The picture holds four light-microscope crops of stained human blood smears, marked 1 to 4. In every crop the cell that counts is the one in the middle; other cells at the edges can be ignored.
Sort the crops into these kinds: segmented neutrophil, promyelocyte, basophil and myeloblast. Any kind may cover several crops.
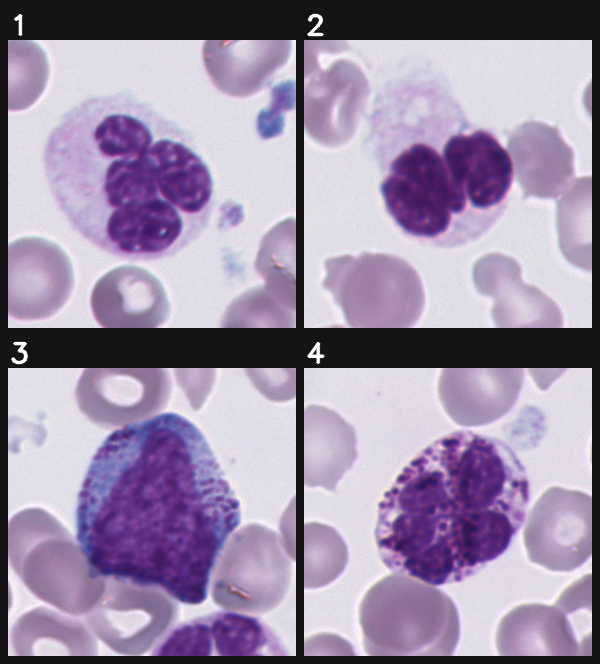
1: segmented neutrophil
2: segmented neutrophil
3: promyelocyte
4: basophil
